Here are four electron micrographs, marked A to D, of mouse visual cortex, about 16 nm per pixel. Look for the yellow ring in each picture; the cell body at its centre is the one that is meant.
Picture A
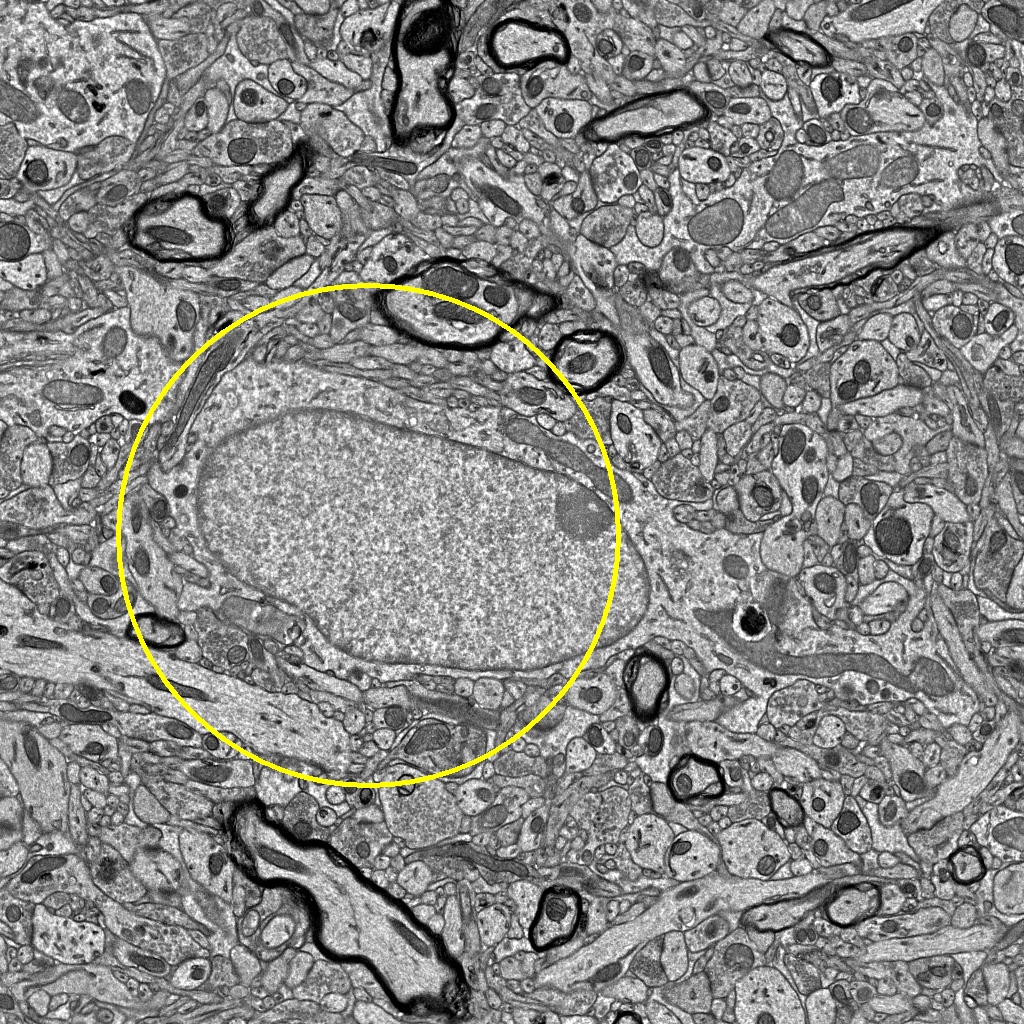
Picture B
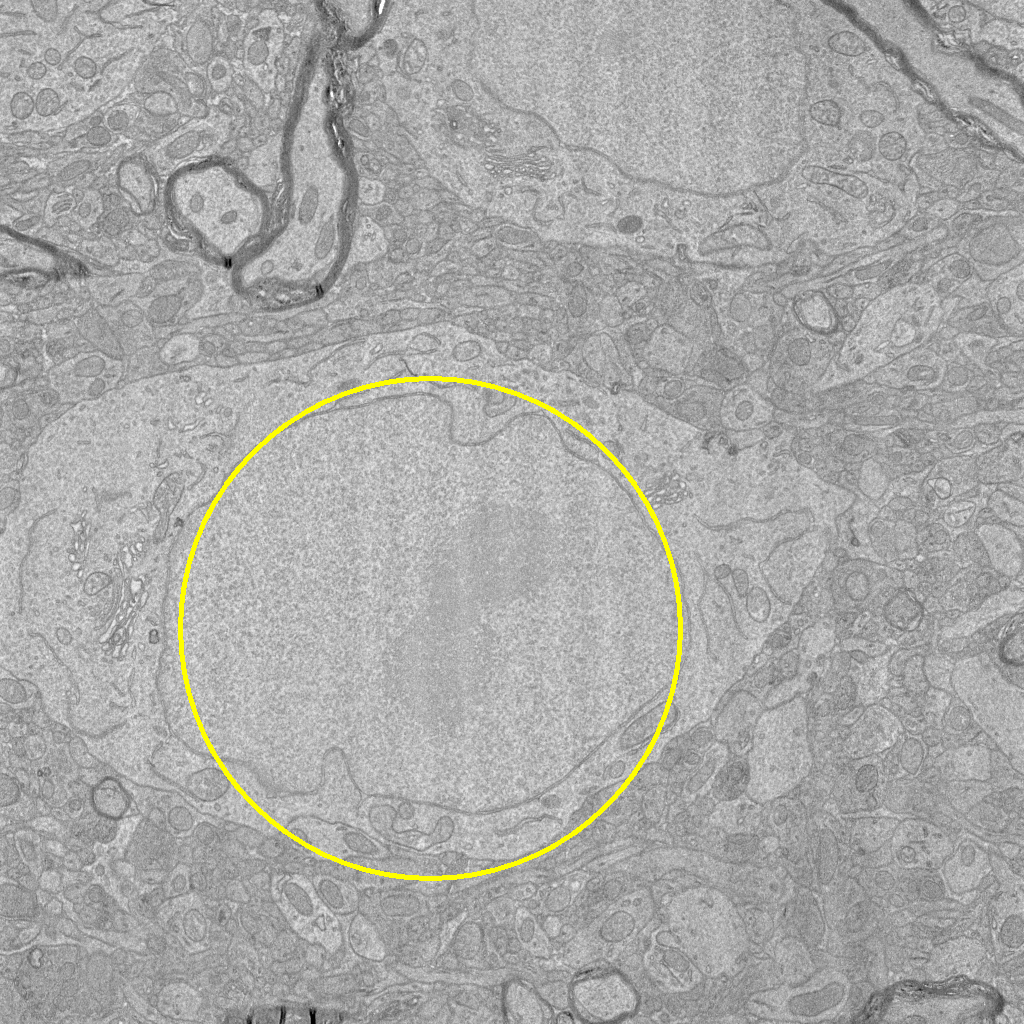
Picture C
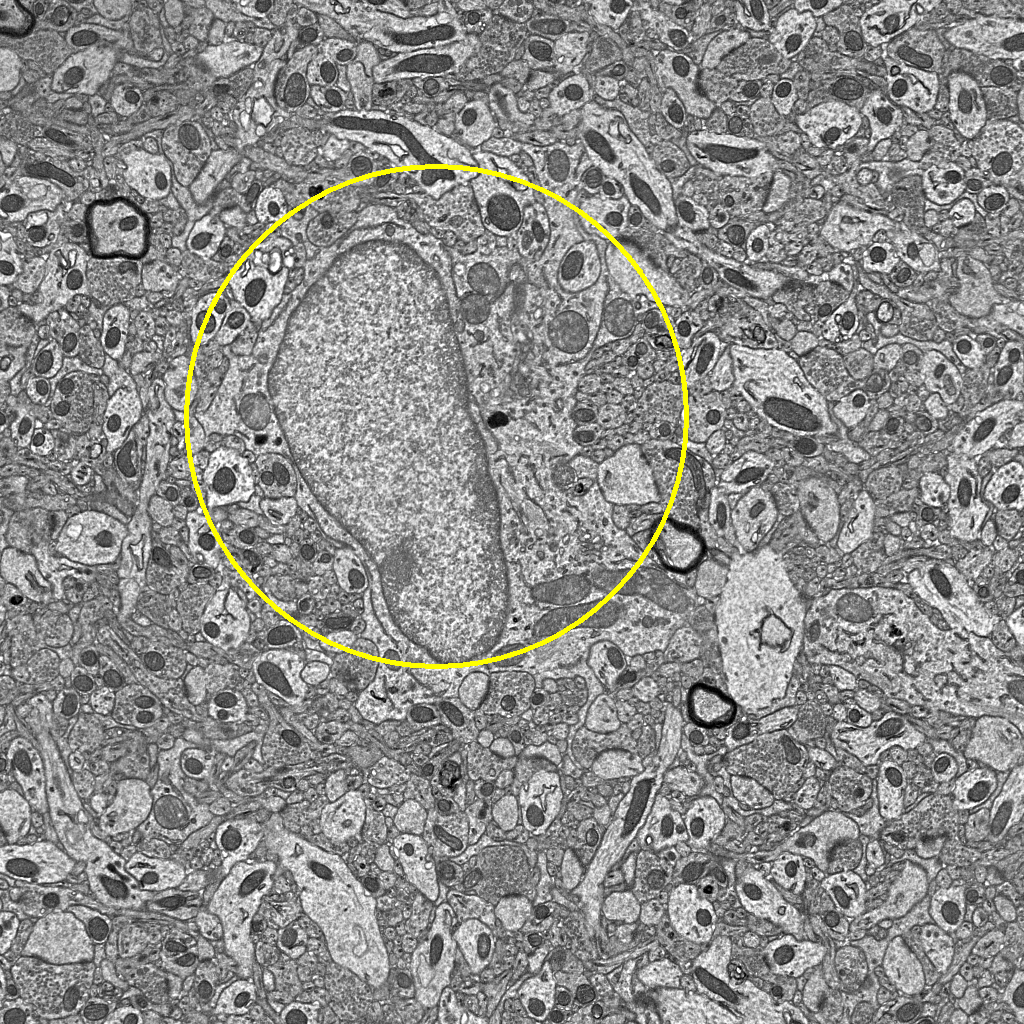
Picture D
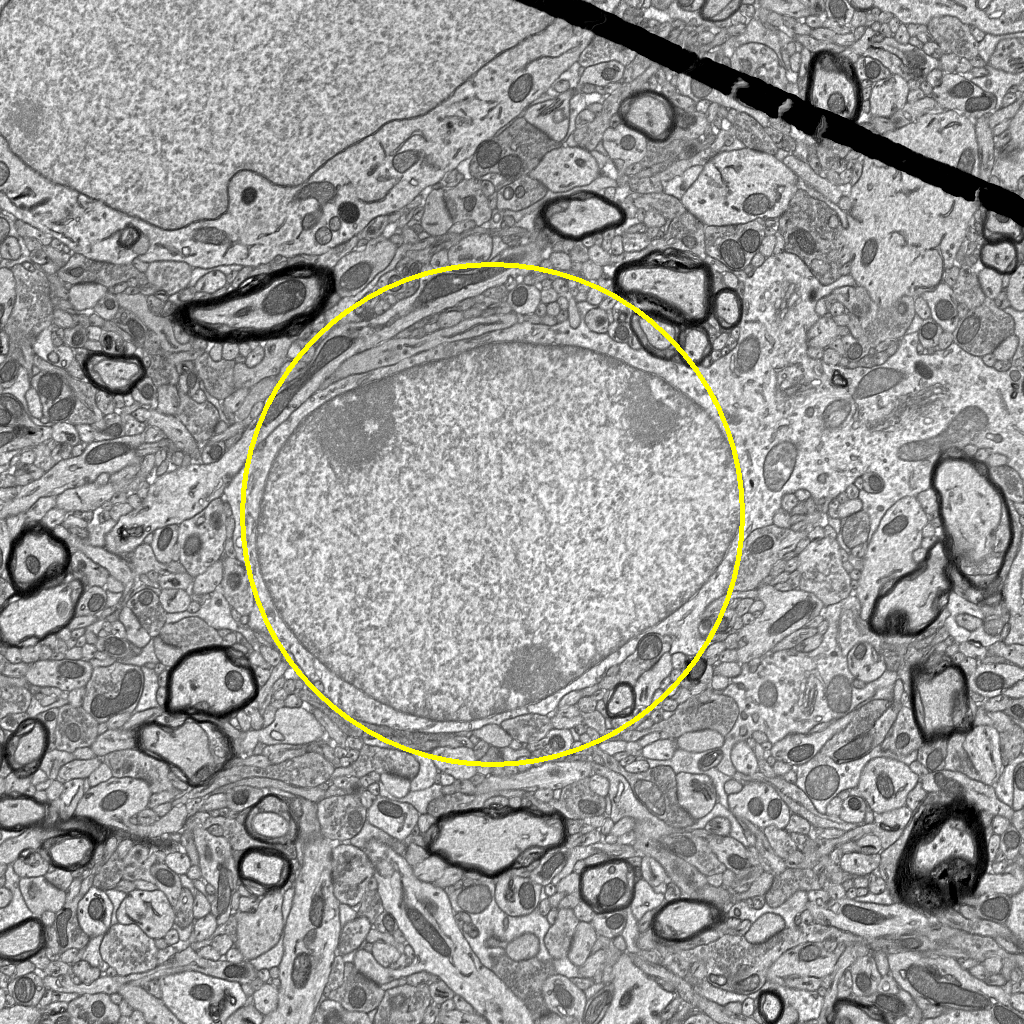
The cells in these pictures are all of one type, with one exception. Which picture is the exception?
Unlike the rest, which show astrocytes, picture B shows an excitatory neuron.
